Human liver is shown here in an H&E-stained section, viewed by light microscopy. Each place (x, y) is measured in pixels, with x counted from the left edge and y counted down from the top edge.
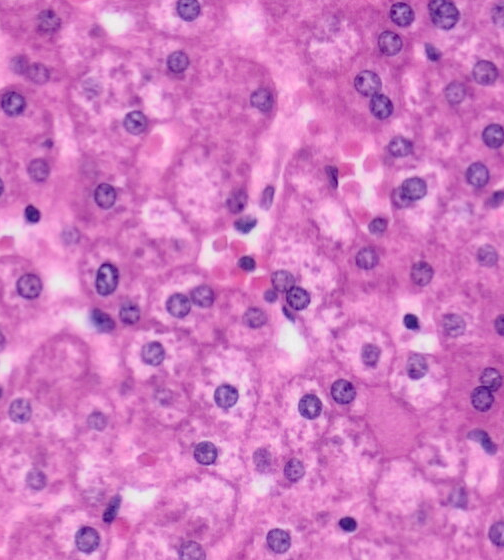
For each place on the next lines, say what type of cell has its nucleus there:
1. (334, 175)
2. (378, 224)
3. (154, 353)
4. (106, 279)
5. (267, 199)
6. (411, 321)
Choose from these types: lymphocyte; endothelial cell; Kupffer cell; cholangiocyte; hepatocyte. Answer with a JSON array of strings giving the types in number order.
["endothelial cell", "Kupffer cell", "hepatocyte", "hepatocyte", "Kupffer cell", "lymphocyte"]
